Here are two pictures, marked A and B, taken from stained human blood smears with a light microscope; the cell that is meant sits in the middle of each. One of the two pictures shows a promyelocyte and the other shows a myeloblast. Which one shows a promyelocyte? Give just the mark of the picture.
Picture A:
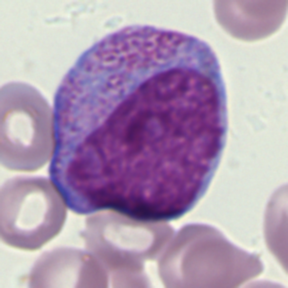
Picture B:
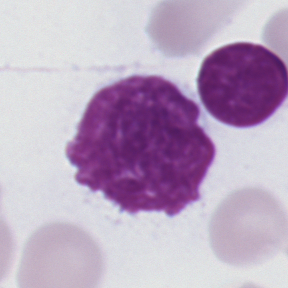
A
